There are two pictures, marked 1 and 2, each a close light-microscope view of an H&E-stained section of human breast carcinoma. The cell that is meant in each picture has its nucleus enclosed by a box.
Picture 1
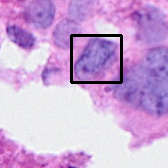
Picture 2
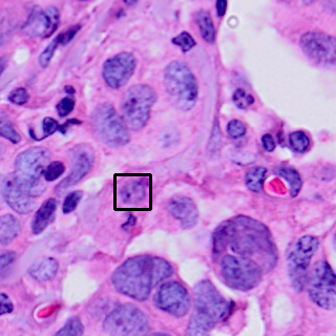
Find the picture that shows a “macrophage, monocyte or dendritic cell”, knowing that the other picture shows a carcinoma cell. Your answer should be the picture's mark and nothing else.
2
